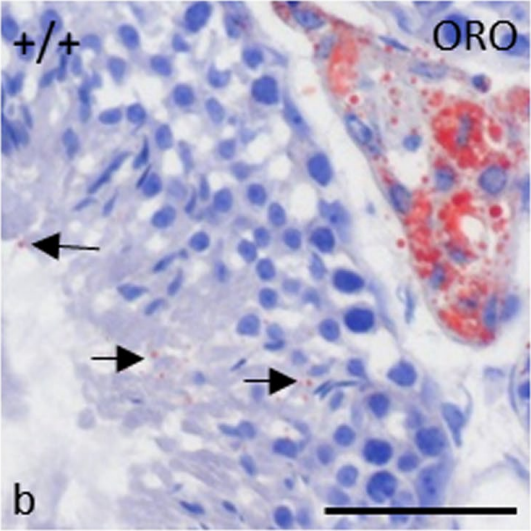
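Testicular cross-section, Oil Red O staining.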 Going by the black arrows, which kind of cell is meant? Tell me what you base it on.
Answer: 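Sertoli cells. The tiny red dots marked by the arrows lie within the epithelium of the tubule, not in the interstitium.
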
